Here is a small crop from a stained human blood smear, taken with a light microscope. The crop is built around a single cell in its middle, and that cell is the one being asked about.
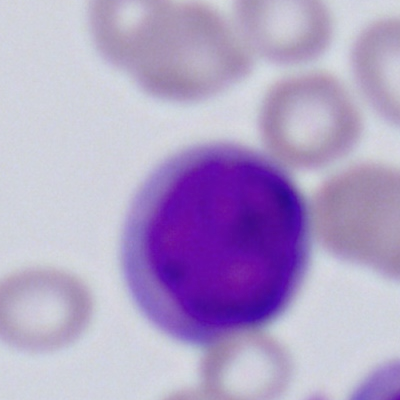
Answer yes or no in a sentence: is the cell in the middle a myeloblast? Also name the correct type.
Yes, the cell in the center of the field is a myeloblast.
